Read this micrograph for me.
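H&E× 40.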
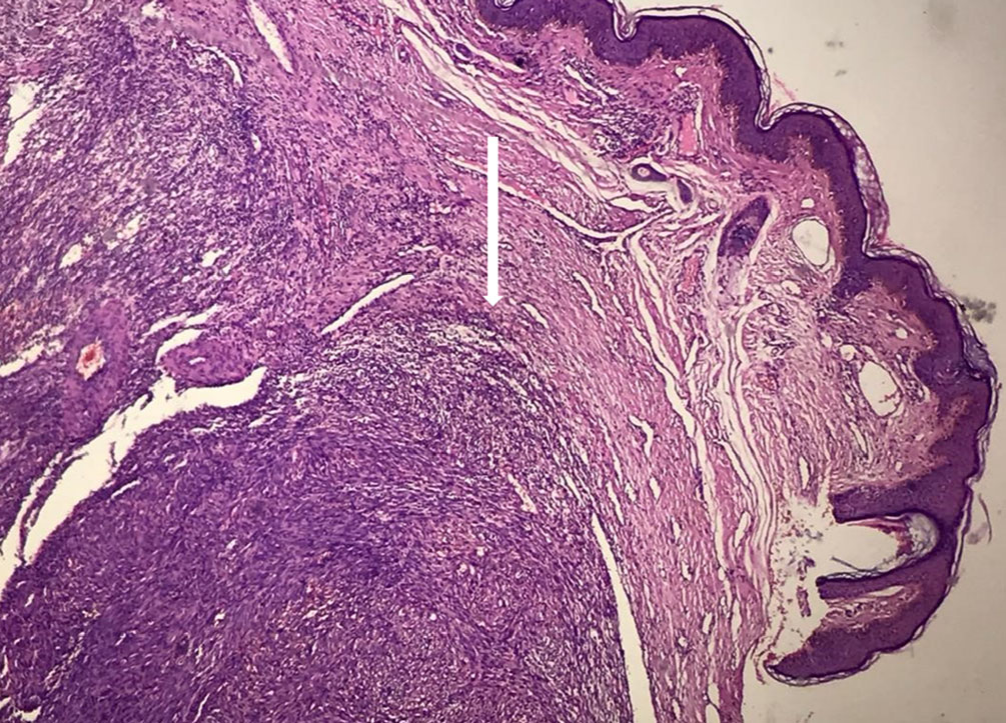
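Skin with a dense, deeply basophilic nodular proliferation of spindle cells occupying the dermis and deeper tissue. The overlying epidermis is intact and undulating, with folds and a few adnexal structures and small vessels in the pale pink collagenous dermis beneath it. A band of compressed, pale eosinophilic fibrous tissue separates the epidermis from the lesion. The lesion is made up of rounded nodules of closely packed elongated cells arranged in streaming fascicles, one nodule with a well-defined rounded edge abutting the fibrous band. Narrow, elongated slit-like clear spaces run between the cell masses, with scattered red blood cells in places.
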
